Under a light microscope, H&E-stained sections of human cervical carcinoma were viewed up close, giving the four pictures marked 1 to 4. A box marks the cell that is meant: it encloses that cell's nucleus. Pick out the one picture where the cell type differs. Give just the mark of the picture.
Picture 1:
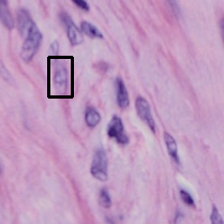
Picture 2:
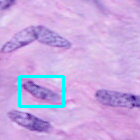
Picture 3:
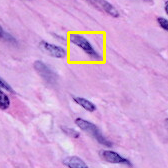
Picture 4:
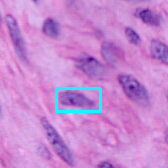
3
